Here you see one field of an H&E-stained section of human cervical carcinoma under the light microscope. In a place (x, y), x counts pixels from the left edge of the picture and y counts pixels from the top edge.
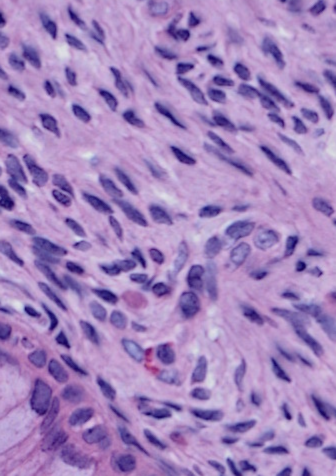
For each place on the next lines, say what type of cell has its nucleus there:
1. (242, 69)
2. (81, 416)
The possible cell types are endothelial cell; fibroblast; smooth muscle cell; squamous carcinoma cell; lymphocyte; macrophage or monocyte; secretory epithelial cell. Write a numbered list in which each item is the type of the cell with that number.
1. fibroblast
2. secretory epithelial cell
